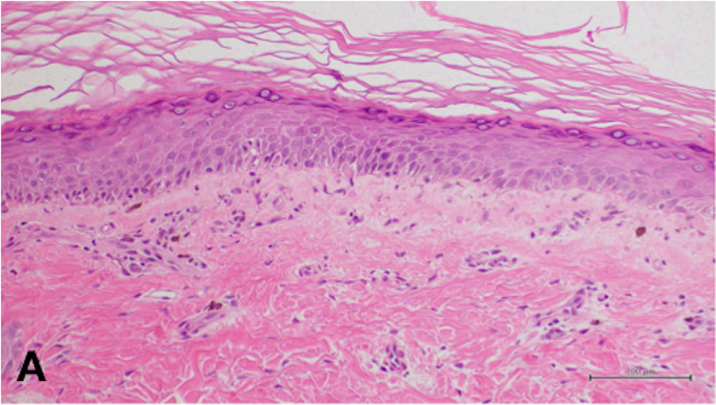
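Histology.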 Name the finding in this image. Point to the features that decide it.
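The lower border of the epidermis is flat, without rete ridges. The answer: slightly atrophic and flattened epidermis.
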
